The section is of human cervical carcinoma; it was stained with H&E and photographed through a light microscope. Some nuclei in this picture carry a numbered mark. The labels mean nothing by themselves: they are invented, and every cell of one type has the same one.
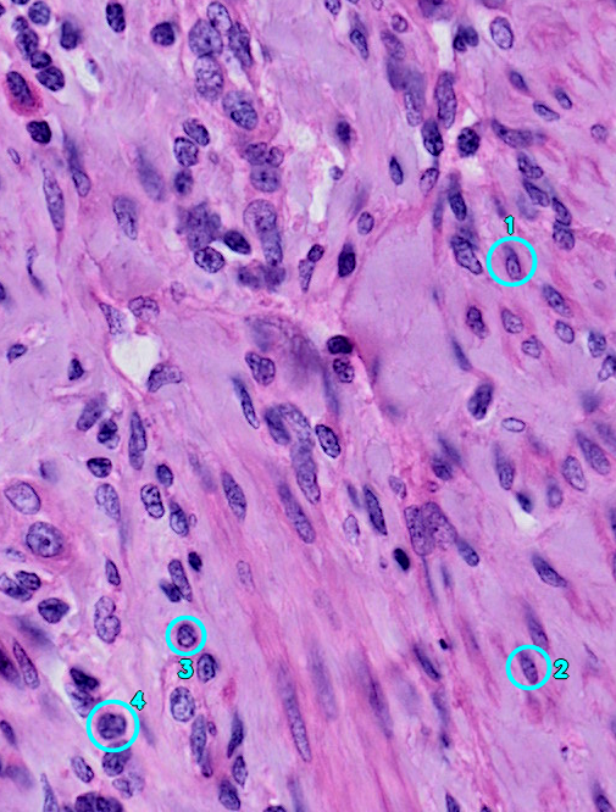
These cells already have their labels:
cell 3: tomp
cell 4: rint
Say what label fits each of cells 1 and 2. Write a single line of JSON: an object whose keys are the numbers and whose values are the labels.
{"1": "tomp", "2": "tomp"}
